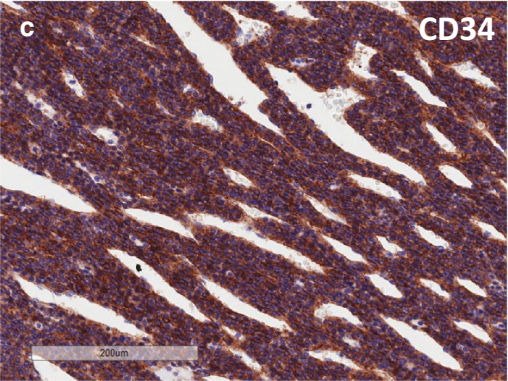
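This is a dense sheet of small, closely packed cells cut by many narrow, elongated, slit-like empty spaces that run in parallel across the field. Nearly every cell is coloured an intense brown, so strongly that the blue nuclei are only dimly made out beneath it. The slit-like spaces are clear and mostly empty, giving the tissue a streaming, branching pattern between them.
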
